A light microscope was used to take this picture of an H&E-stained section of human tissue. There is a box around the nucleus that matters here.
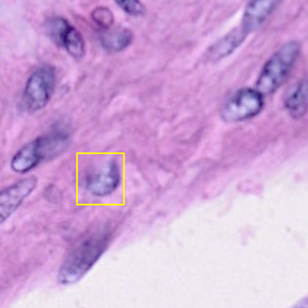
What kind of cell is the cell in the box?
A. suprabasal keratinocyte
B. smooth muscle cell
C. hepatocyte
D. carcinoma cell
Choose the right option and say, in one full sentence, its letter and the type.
Option B is the correct one, since the cell in the box is a smooth muscle cell.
